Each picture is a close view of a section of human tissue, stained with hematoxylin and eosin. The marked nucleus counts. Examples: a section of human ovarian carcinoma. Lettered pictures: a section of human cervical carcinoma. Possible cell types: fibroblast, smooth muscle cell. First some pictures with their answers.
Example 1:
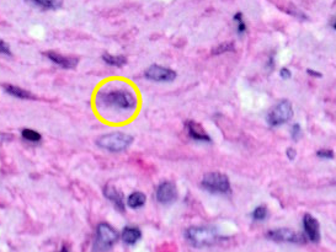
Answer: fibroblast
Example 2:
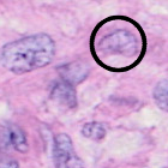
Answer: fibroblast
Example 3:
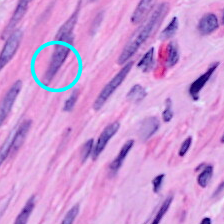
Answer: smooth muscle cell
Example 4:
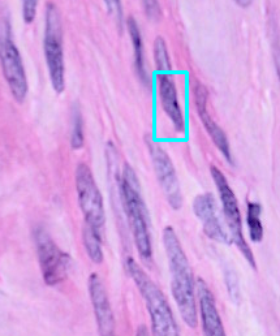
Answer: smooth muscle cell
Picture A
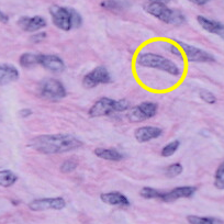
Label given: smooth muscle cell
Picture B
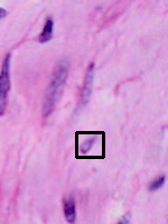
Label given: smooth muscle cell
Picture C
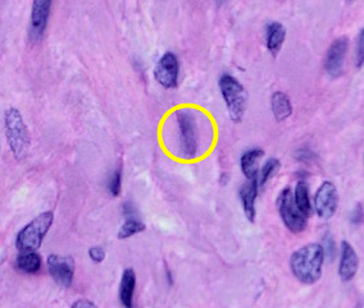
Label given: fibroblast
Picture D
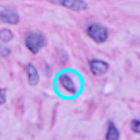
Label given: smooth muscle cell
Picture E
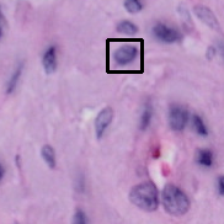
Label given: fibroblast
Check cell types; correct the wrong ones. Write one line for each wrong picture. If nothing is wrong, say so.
B: change smooth muscle cell to fibroblast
